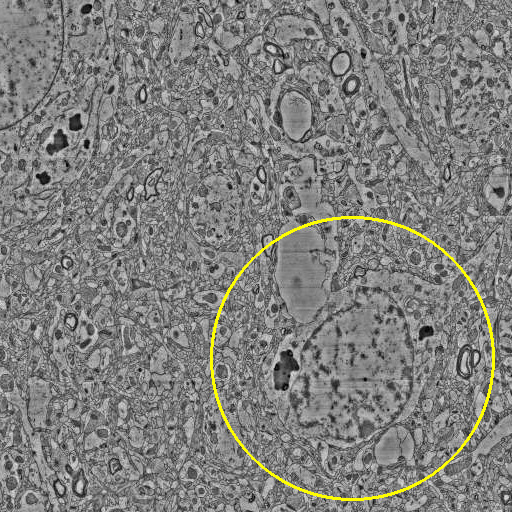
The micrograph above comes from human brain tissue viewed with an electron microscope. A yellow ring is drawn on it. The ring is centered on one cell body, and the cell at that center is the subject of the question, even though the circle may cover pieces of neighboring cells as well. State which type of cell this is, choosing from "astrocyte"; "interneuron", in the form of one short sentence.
The cell the ring is centered on is an interneuron.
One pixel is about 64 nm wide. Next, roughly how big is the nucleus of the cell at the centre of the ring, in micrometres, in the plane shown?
Roughly 10 by 7 micrometres in this plane, for the nucleus of the ringed cell.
